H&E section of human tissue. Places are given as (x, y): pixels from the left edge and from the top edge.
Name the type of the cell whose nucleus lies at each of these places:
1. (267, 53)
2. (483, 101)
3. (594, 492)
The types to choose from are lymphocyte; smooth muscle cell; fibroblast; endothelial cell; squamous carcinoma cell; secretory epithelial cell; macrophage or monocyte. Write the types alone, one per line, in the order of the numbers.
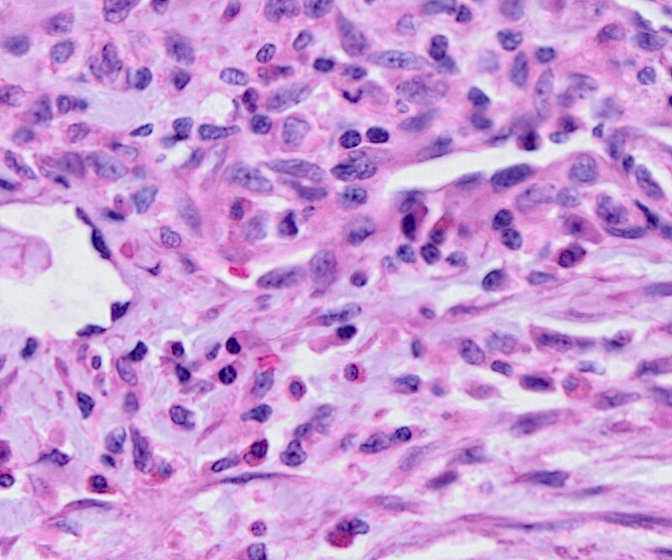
lymphocyte
lymphocyte
fibroblast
